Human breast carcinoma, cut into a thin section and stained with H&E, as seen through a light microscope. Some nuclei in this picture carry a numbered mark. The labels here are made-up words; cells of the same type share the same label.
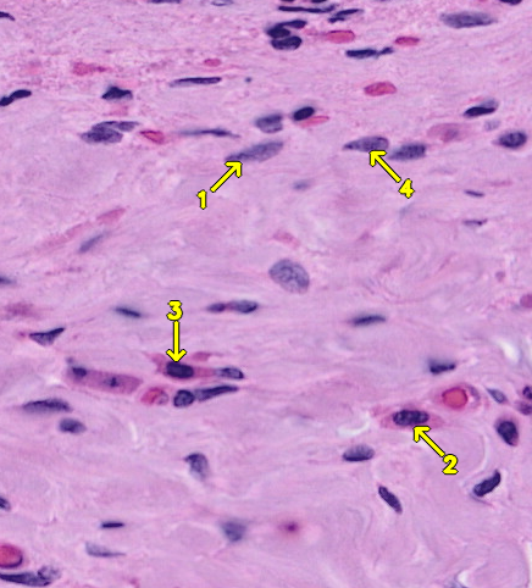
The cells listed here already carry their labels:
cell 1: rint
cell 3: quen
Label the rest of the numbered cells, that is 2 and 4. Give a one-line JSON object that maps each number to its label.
{"2": "quen", "4": "rint"}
